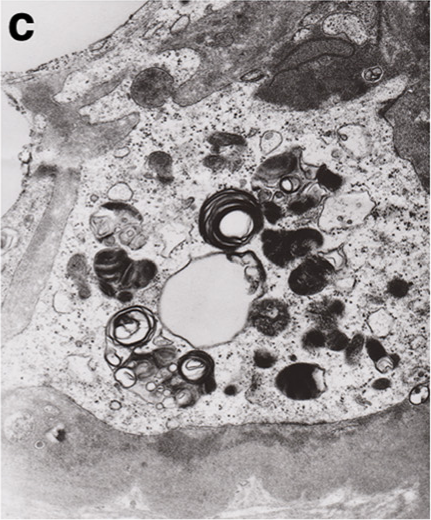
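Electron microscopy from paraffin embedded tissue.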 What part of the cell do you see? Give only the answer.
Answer: Lamellated lipid inclusions.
